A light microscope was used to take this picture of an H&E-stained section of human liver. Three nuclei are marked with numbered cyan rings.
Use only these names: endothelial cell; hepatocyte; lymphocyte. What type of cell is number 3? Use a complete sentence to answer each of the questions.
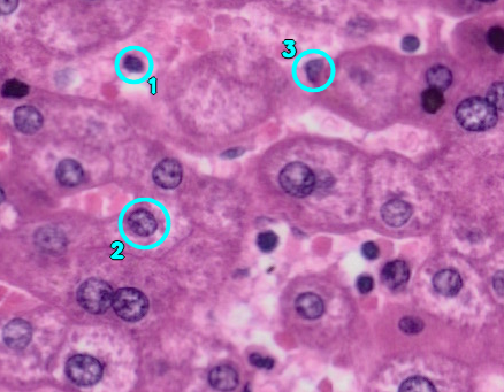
Within this field of view, the cell labelled 3 is an endothelial cell.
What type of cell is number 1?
Cell 1 of the marked set is a lymphocyte.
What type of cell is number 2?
Nucleus 2 in this section belongs to a hepatocyte.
